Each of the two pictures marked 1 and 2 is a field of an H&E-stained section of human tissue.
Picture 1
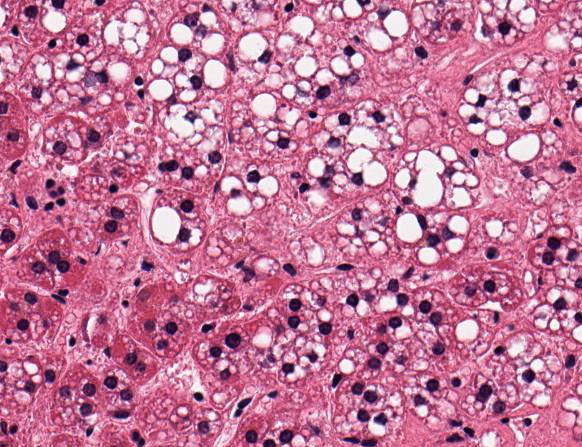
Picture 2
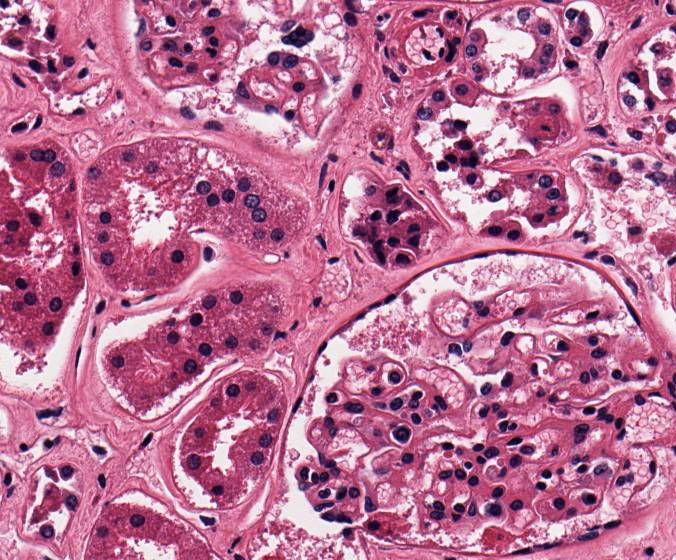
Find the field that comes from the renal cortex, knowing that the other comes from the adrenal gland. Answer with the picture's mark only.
2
